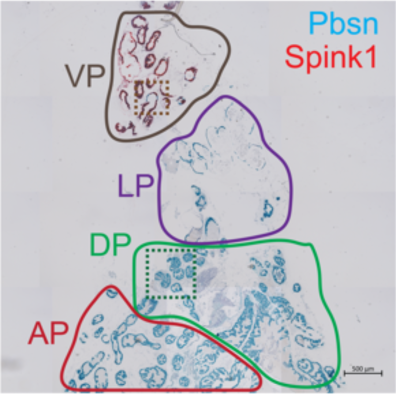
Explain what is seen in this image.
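Low-power section of a whole prostate showing several lobes, each made of many separate glands cut in cross-section with folded epithelial walls around lumens. Glands of the upper outlined lobe have epithelium stained dark red-brown, with small blue patches. Glands of the three lower lobes are stained blue in their epithelium and lack the red stain. Stroma between glands is pale and unstained.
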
